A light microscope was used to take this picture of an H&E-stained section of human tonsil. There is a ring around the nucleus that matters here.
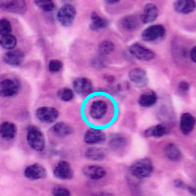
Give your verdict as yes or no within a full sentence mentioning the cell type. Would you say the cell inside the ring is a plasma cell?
Yes, the cell inside the ring is to be classified as a plasma cell.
